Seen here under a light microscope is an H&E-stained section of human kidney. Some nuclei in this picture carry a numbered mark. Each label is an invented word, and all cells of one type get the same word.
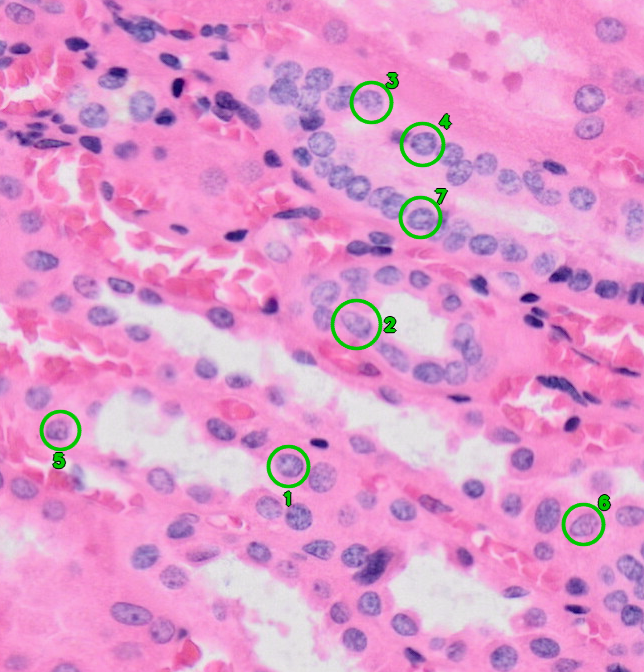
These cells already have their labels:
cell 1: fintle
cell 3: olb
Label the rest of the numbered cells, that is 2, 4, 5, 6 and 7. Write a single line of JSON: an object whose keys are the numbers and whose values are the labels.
{"2": "olb", "4": "olb", "5": "fintle", "6": "fintle", "7": "olb"}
